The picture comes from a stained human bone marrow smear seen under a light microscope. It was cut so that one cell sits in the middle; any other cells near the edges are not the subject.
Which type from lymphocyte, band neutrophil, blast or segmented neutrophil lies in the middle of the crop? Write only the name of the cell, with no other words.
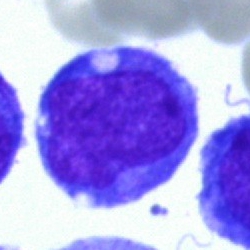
blast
